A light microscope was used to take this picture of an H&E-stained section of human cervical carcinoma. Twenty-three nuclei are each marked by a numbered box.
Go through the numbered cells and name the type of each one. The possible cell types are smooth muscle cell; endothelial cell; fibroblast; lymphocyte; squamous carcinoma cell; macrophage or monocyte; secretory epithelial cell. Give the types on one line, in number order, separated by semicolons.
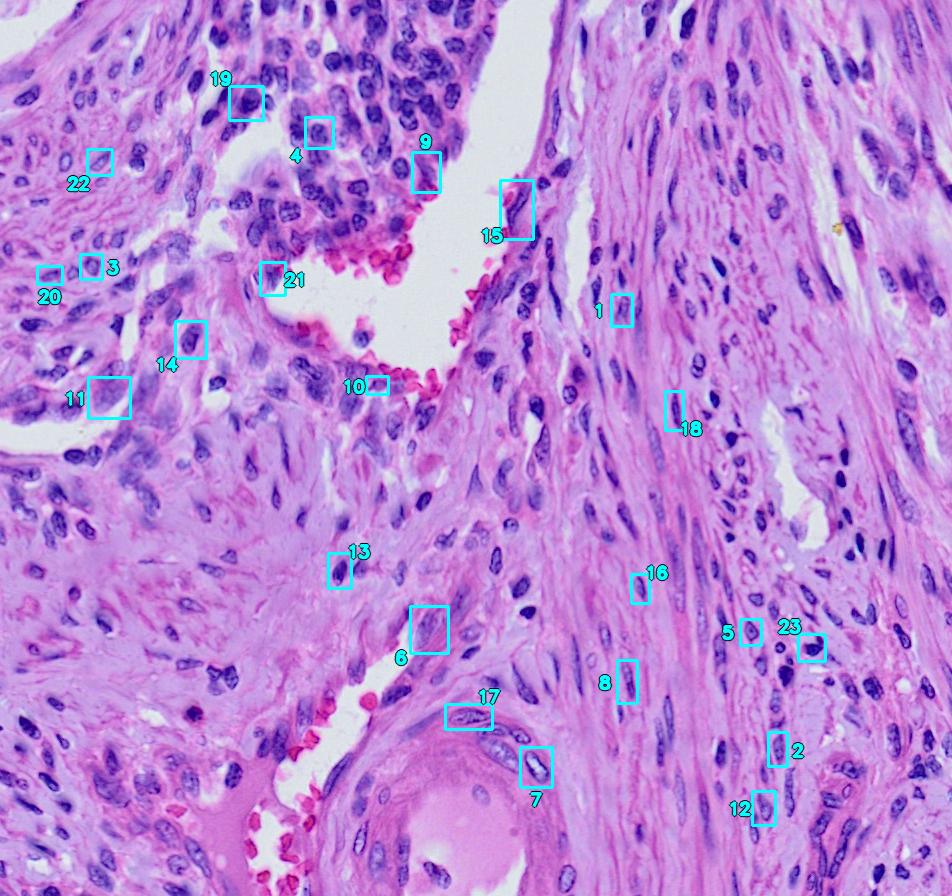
smooth muscle cell; smooth muscle cell; smooth muscle cell; lymphocyte; smooth muscle cell; endothelial cell; smooth muscle cell; smooth muscle cell; endothelial cell; endothelial cell; endothelial cell; smooth muscle cell; lymphocyte; lymphocyte; endothelial cell; smooth muscle cell; smooth muscle cell; smooth muscle cell; lymphocyte; smooth muscle cell; endothelial cell; smooth muscle cell; lymphocyte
